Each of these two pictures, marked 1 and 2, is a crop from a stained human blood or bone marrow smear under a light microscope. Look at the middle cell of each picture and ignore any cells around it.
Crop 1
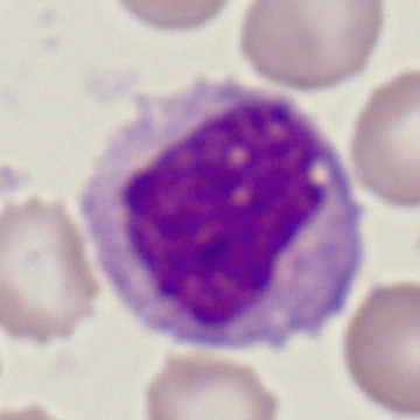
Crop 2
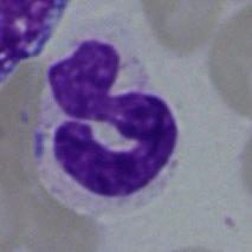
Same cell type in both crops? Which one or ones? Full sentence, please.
No, the cell of interest in crop 1 is a monocyte, and in crop 2 it is a segmented neutrophil.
